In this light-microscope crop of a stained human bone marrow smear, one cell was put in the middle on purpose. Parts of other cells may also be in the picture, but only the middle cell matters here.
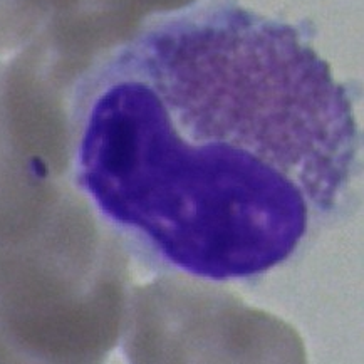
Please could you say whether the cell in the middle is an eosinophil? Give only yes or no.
yes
